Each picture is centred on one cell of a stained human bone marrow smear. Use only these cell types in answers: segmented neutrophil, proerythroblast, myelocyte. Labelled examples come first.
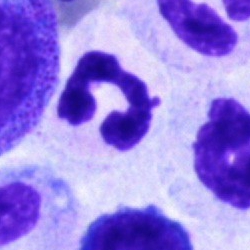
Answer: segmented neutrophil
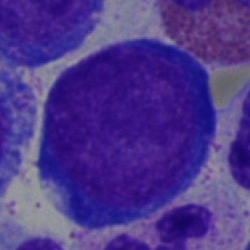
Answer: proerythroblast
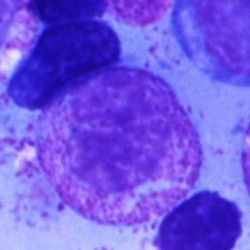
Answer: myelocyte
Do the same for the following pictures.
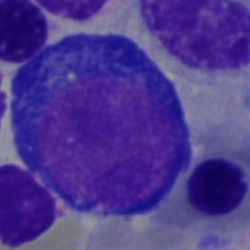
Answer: proerythroblast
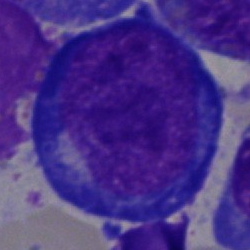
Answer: proerythroblast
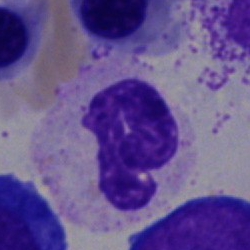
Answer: segmented neutrophil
